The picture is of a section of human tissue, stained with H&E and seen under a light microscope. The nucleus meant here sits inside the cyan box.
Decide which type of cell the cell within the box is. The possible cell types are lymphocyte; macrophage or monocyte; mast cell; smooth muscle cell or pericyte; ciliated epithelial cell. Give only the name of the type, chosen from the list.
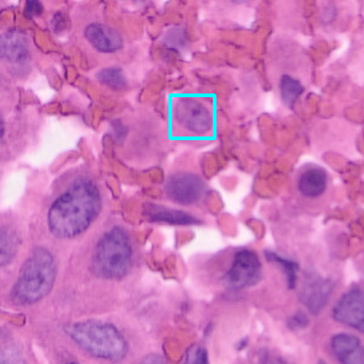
macrophage or monocyte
